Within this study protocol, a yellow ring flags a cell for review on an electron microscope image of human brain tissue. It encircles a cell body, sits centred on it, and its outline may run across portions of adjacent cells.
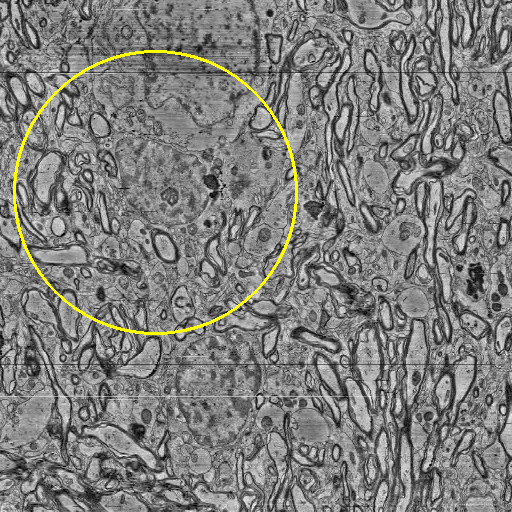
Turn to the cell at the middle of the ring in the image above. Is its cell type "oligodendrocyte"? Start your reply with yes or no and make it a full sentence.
Yes, the cell at the ring's centre in the image above has that cell type.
